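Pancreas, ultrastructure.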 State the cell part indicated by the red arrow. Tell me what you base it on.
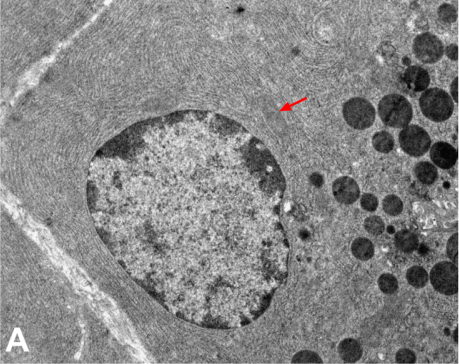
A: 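Mitochondria. The arrow points to a small oval organelle lying among stacked parallel membranes in the cytoplasm.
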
